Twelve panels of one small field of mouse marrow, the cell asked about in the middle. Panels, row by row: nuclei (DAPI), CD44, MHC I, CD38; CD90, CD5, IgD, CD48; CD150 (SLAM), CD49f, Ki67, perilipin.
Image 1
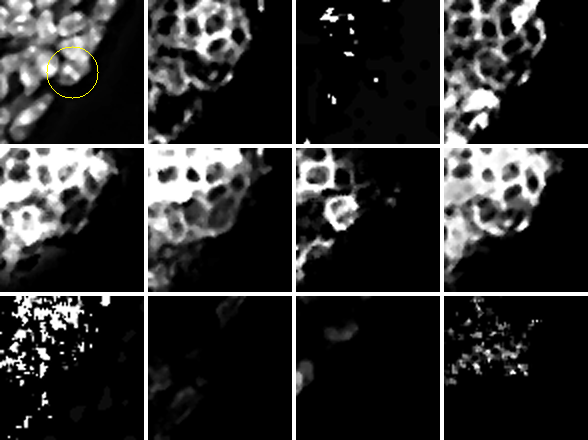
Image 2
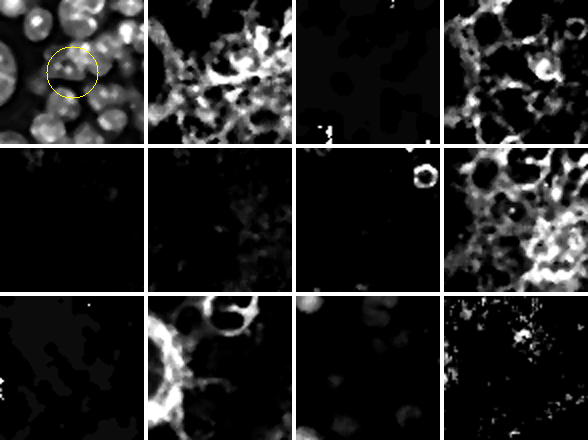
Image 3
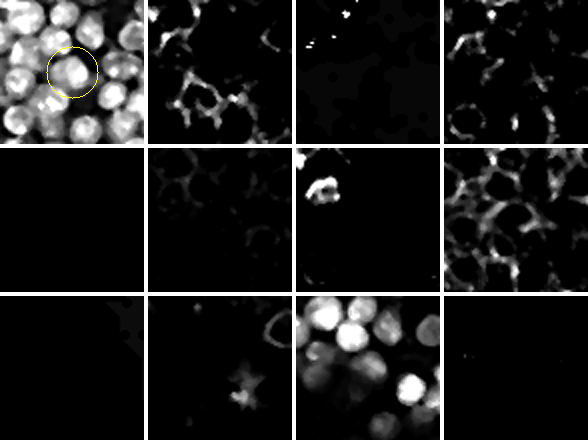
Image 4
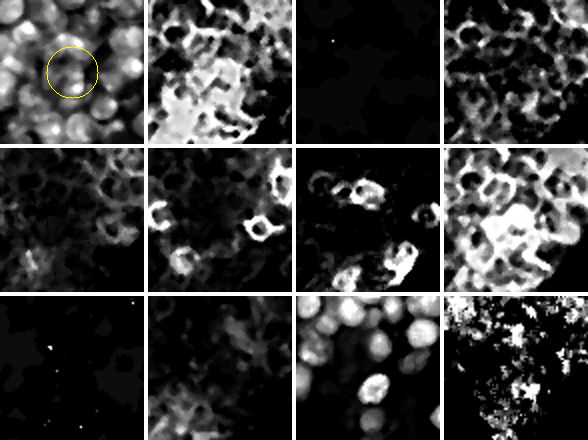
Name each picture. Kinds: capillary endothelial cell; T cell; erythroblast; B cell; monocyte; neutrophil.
1. monocyte
2. neutrophil
3. erythroblast
4. monocyte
